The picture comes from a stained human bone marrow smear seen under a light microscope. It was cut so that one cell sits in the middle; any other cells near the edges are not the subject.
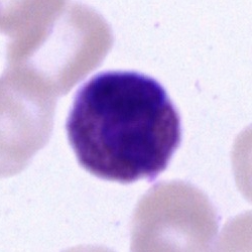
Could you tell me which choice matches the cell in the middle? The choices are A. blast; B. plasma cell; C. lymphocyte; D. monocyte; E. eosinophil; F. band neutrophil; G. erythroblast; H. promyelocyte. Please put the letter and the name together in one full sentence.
The cell at the heart of the crop is an eosinophil, so choose option E.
